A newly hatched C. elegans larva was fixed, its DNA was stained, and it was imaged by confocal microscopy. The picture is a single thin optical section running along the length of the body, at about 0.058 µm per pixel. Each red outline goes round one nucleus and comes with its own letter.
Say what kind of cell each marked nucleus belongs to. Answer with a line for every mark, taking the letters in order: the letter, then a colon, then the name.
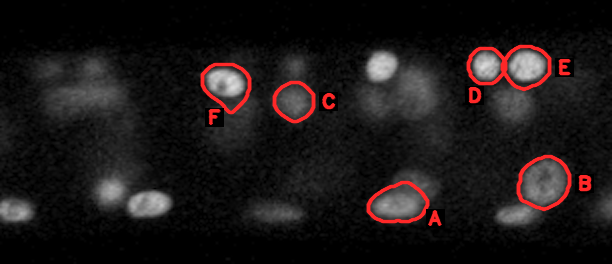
A: body wall muscle cell
B: intestinal cell
C: body wall muscle cell
D: neuron
E: neuron
F: body wall muscle cell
